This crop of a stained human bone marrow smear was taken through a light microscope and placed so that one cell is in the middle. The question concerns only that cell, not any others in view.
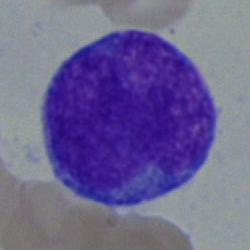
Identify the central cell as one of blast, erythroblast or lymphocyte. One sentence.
What sits at the centre of this crop is a blast.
